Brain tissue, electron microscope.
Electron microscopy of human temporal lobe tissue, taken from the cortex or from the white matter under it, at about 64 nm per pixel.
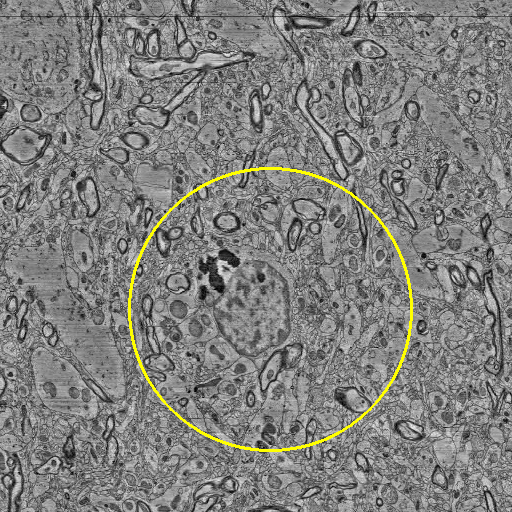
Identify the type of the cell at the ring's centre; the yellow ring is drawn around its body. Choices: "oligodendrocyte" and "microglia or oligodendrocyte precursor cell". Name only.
oligodendrocyte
